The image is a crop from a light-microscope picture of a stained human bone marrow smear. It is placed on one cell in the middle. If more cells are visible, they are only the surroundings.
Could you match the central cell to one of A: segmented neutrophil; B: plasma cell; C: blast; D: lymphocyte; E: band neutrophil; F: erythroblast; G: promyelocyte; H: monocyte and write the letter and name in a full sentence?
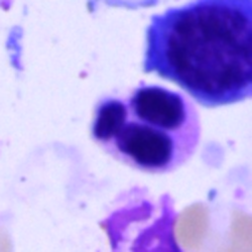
Option A holds up: the cell in the middle is a segmented neutrophil.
